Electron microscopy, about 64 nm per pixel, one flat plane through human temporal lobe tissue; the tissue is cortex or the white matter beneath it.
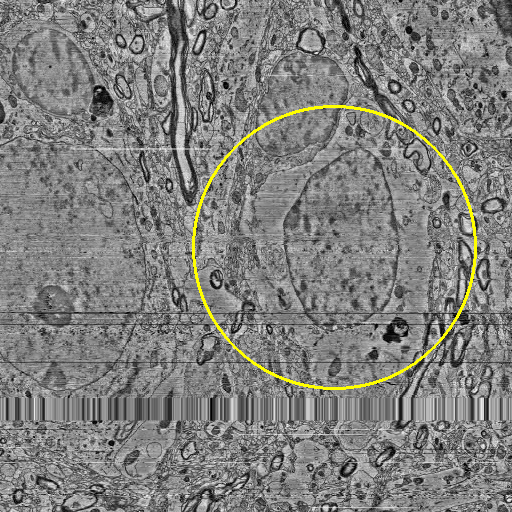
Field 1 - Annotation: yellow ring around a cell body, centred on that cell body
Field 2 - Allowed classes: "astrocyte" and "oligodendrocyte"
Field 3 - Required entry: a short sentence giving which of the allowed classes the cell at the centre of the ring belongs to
The centred cell is an astrocyte.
